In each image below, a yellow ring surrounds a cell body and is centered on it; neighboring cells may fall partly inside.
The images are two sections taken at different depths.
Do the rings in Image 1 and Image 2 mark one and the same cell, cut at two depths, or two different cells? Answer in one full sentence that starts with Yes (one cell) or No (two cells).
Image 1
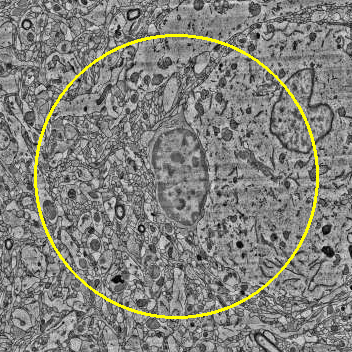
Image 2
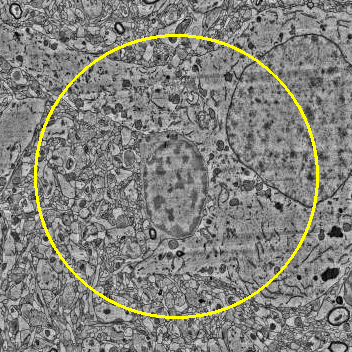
Yes, the second ring marks the same cell as the first.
